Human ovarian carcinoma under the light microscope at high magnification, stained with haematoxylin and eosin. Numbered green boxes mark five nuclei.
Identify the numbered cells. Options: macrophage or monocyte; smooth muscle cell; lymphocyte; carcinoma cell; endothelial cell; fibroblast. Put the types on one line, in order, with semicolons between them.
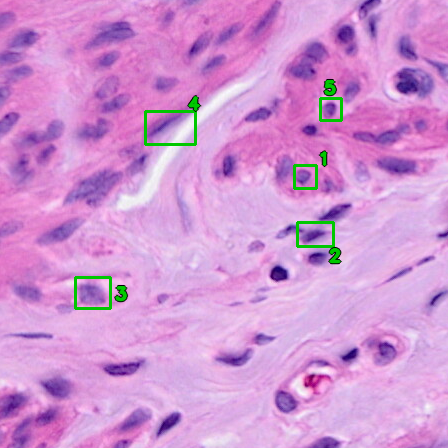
smooth muscle cell; fibroblast; endothelial cell; smooth muscle cell; smooth muscle cell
